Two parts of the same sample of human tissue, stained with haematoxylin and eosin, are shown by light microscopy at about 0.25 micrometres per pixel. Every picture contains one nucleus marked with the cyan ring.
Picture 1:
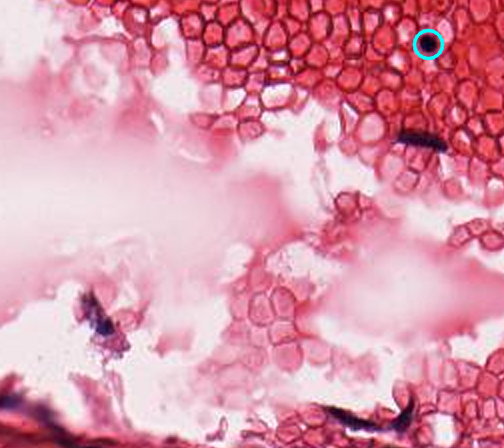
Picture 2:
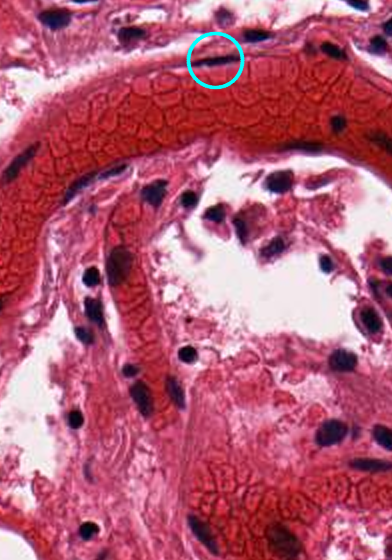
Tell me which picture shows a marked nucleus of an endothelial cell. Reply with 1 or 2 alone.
2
